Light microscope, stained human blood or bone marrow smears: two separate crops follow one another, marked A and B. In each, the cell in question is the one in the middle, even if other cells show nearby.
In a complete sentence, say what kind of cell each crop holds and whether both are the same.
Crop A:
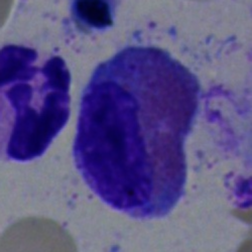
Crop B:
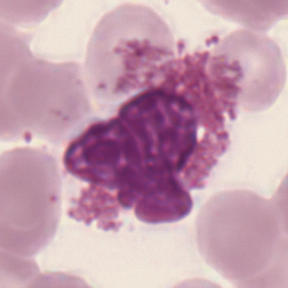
Yes, eosinophils are the cells shown in both crops.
